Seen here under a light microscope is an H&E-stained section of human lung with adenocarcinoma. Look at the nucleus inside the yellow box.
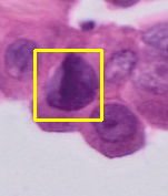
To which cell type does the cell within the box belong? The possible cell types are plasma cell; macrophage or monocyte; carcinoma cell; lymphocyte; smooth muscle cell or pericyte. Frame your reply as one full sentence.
Right, so the cell within the box is a carcinoma cell, to answer that.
